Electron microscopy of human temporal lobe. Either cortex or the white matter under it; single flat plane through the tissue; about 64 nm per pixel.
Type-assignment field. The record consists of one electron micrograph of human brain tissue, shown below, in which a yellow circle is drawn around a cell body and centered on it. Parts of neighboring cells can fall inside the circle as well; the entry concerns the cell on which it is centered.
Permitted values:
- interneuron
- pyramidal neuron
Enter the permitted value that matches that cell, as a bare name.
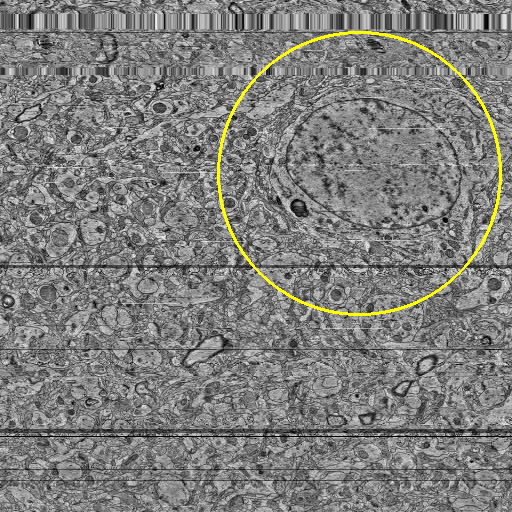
pyramidal neuron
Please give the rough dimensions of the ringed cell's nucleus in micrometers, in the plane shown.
The nucleus appears roughly 11 by 9 micrometres in this plane.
